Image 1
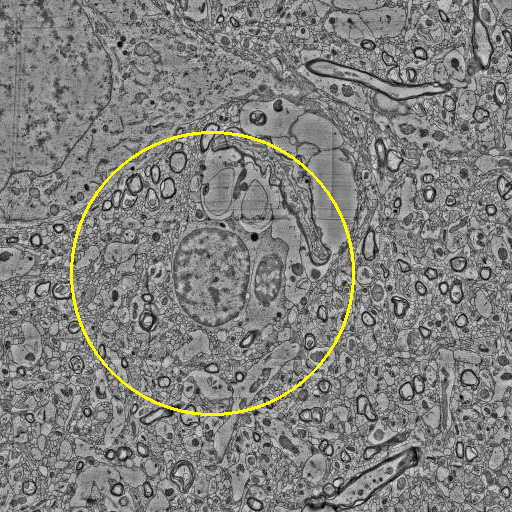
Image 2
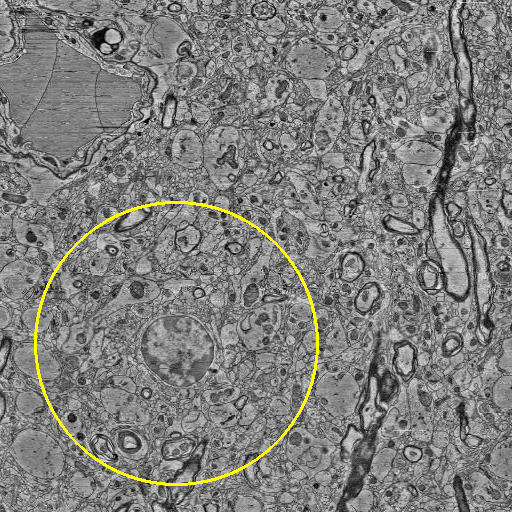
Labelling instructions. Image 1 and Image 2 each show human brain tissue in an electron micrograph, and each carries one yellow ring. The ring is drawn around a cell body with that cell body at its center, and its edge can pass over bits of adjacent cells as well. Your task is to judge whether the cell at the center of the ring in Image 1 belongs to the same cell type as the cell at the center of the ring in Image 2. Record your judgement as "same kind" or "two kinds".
two kinds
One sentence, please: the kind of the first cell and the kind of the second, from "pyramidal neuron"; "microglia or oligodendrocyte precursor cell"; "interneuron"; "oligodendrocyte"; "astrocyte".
The ring in the first picture surrounds an oligodendrocyte, and the ring in the second surrounds a microglial cell or oligodendrocyte precursor cell.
